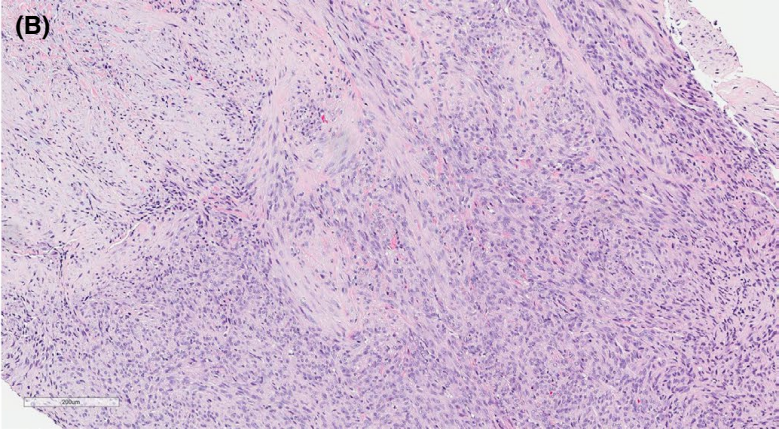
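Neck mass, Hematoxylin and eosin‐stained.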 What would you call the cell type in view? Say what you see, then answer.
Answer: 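Elongated nuclei in cells arranged in intersecting bundles. Pale pink cytoplasm around the nuclei. So: spindled cells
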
